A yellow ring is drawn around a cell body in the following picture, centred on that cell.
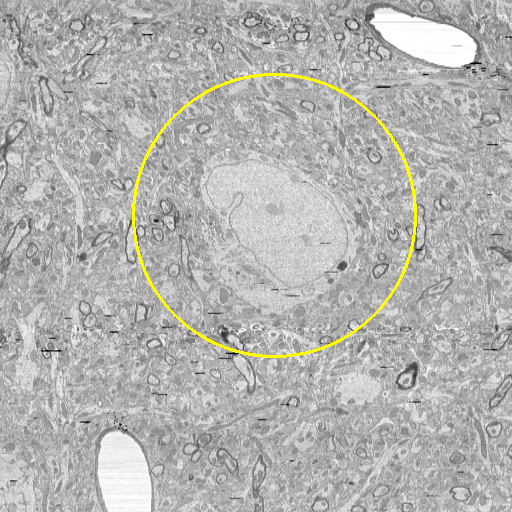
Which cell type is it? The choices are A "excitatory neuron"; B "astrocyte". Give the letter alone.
A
